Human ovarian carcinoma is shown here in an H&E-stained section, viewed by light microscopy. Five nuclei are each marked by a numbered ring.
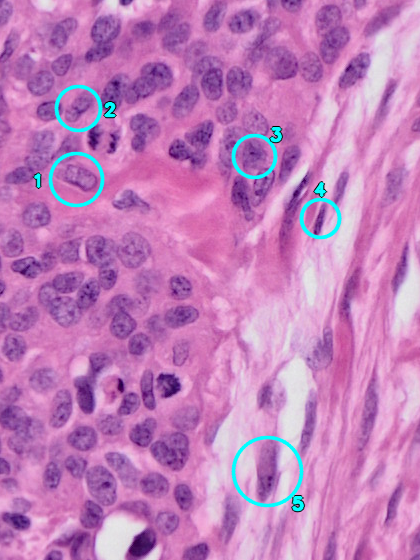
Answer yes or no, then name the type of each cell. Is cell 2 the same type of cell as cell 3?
Yes, cells number 2 and number 3 are both carcinoma cells.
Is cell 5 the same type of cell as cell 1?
No, mate, cell 5 is a fibroblast and cell 1 is an endothelial cell.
